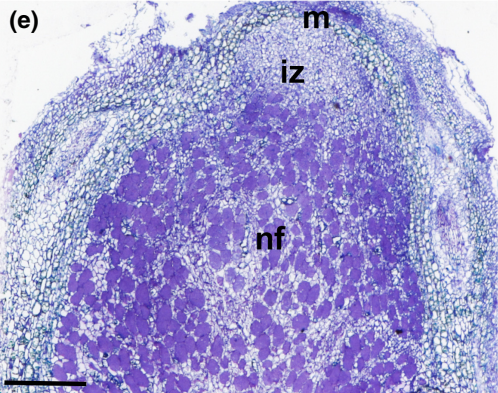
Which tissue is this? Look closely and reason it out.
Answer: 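Indeterminate nodule. An elongated organ is cut lengthwise with a rounded tip. Small pale cells at the tip give way to a zone of pale cells and then a central mass of dark purple cells. The zones follow one another from tip to base.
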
